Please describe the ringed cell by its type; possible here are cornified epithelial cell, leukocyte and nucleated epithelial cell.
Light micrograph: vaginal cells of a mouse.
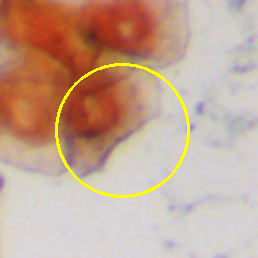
The yellow ring marks a nucleated epithelial cell.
